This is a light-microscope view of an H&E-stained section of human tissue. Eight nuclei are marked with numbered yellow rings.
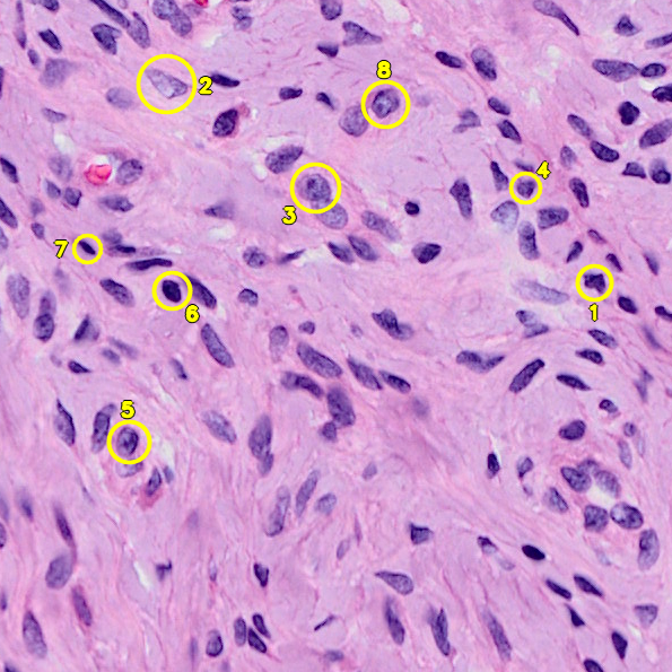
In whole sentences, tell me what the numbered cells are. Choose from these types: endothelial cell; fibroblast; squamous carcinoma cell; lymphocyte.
Cells 1, 2, 4 and 7 are fibroblasts. Cells 3, 5 and 8 are endothelial cells. Cell 6 is a lymphocyte.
